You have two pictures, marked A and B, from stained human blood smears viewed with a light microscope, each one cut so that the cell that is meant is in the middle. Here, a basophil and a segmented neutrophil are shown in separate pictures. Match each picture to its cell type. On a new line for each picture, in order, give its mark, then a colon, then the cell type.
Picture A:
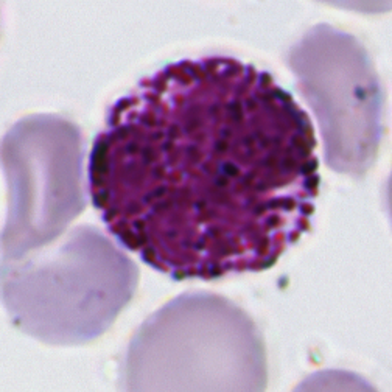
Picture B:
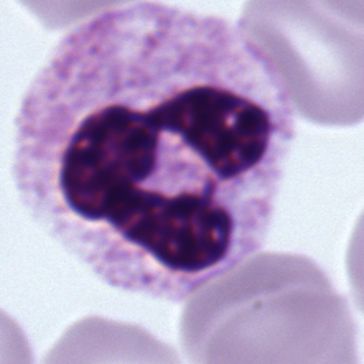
A: basophil
B: segmented neutrophil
